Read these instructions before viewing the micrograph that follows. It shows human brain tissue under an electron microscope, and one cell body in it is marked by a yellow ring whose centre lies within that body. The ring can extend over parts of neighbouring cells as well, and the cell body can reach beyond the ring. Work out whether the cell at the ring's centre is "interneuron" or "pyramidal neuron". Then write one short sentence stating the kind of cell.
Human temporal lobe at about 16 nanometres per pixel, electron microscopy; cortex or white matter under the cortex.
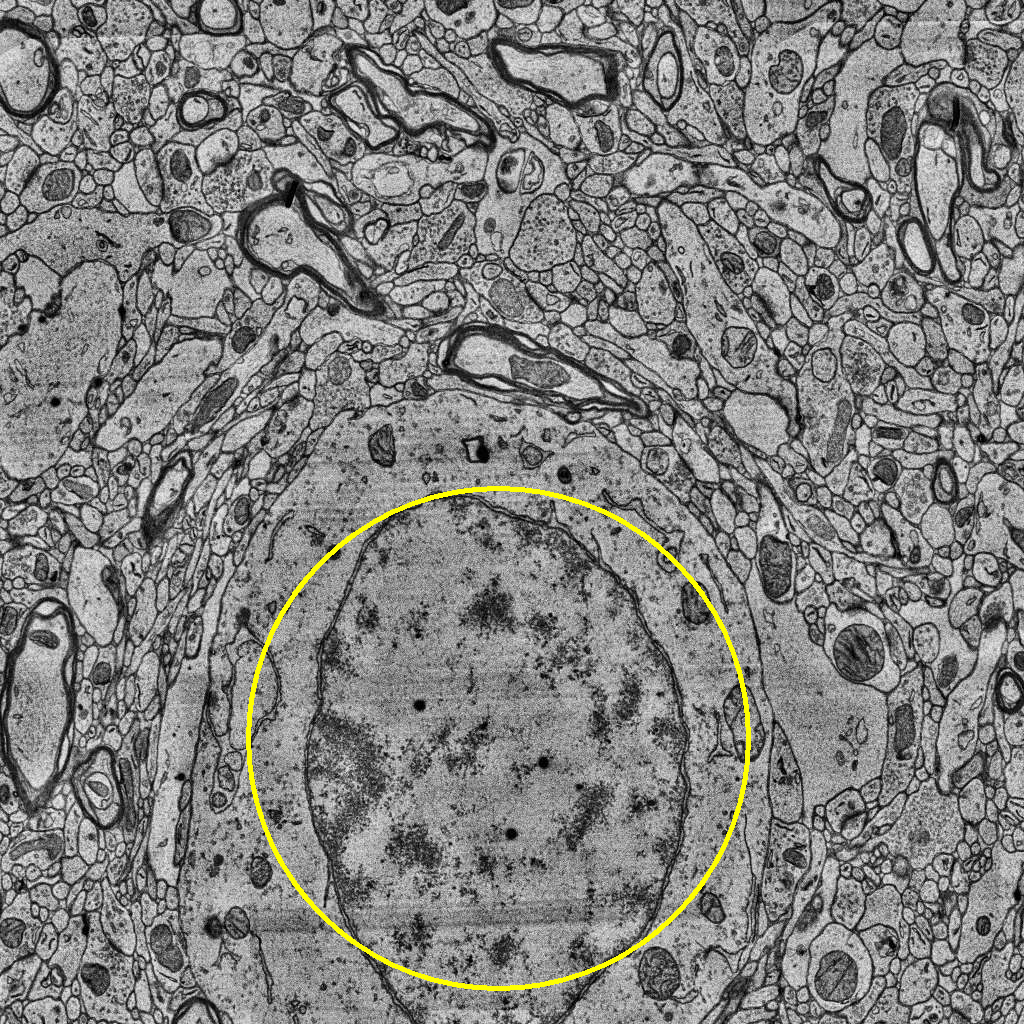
The cell at the ring's centre is a pyramidal neuron.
